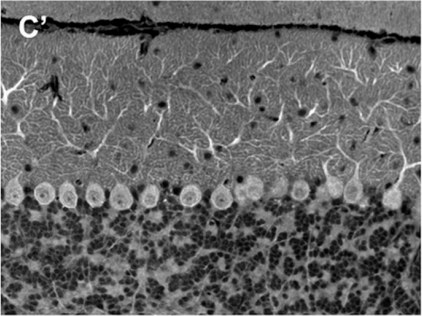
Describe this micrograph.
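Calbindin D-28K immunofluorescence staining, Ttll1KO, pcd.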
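Cerebellar cortex with a continuous single row of bright, large, round Purkinje neuron cell bodies between the molecular and granule cell layers. Beneath, the granule cell layer is densely packed with small dark nuclei.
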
